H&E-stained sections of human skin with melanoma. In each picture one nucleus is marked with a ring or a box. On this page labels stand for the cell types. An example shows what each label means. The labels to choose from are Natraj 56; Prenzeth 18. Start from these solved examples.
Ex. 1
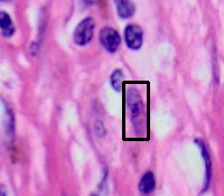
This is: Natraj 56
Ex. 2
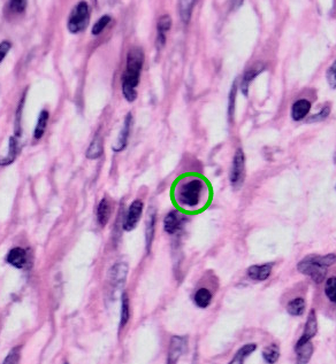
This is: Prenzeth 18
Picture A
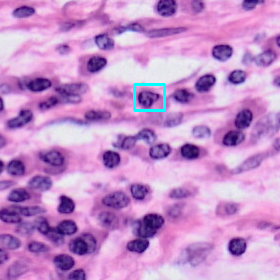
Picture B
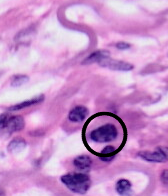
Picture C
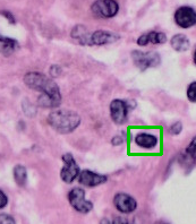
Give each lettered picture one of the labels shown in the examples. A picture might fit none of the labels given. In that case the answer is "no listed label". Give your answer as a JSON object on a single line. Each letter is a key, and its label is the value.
{"A": "Prenzeth 18", "B": "Prenzeth 18", "C": "no listed label"}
